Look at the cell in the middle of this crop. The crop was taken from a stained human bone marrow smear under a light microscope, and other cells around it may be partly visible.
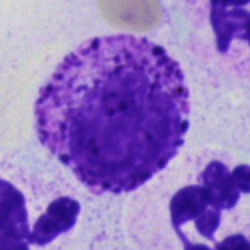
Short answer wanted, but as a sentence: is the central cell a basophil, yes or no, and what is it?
Yes, the central cell is to be recorded as a basophil.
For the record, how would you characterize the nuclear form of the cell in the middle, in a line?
The cell carries one compact nucleus shaped round, oval or like a kidney.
